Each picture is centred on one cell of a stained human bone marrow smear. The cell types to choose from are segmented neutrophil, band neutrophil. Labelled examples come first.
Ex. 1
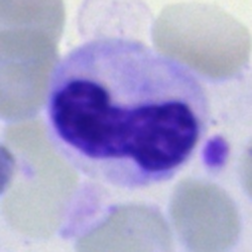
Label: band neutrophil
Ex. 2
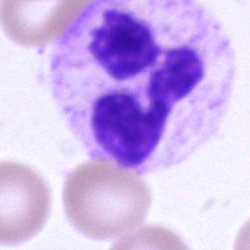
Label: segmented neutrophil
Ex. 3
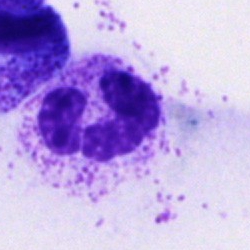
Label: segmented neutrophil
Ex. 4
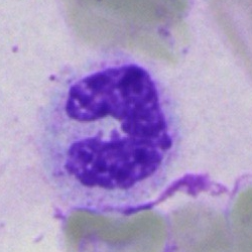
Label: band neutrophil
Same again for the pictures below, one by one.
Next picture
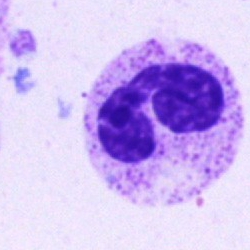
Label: segmented neutrophil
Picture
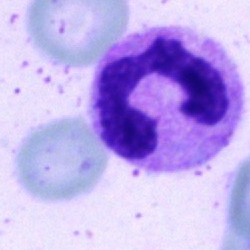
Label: segmented neutrophil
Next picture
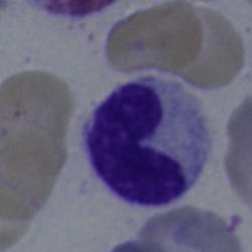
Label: band neutrophil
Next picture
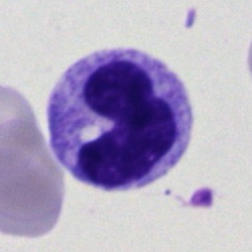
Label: band neutrophil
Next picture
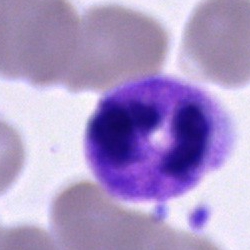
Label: segmented neutrophil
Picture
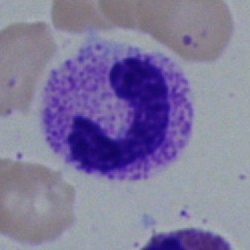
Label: band neutrophil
